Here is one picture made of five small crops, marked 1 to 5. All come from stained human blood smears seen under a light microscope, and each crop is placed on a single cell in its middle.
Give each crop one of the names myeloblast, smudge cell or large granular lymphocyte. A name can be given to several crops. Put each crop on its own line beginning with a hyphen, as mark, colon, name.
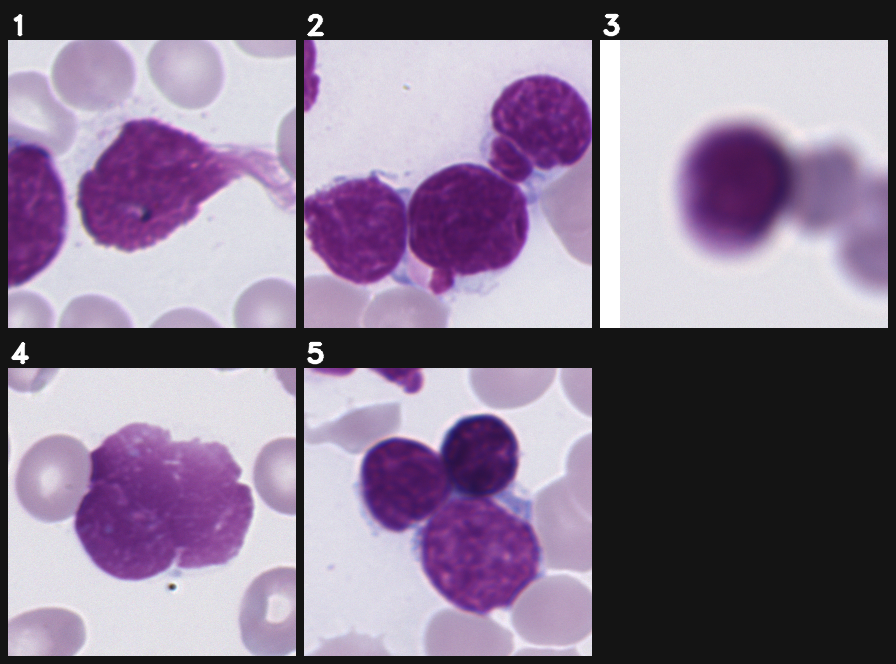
- 1: smudge cell
- 2: myeloblast
- 3: smudge cell
- 4: smudge cell
- 5: myeloblast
